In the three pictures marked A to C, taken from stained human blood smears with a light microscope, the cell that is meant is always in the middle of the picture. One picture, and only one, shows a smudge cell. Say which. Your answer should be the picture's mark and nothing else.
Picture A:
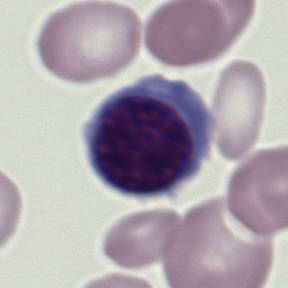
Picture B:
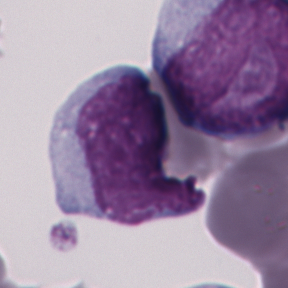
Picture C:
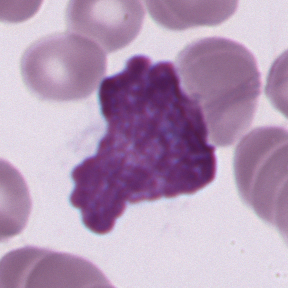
C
